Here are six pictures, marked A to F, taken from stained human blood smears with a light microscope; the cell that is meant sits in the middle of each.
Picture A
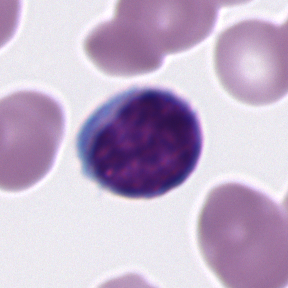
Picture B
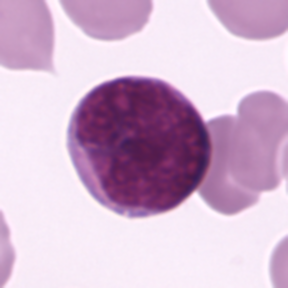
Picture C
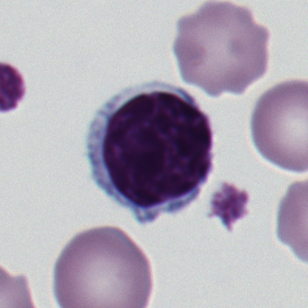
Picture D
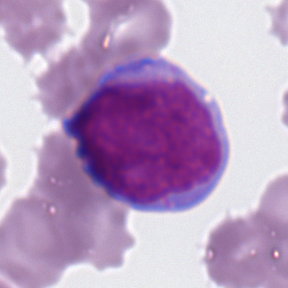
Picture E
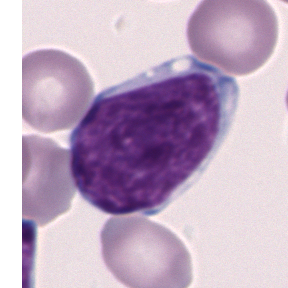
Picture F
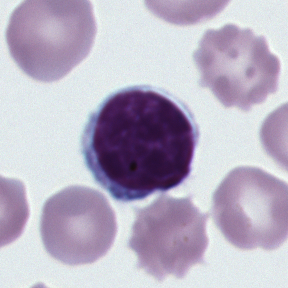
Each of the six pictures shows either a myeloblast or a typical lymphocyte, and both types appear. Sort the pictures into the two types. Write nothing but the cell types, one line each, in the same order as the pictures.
typical lymphocyte
myeloblast
typical lymphocyte
myeloblast
myeloblast
typical lymphocyte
